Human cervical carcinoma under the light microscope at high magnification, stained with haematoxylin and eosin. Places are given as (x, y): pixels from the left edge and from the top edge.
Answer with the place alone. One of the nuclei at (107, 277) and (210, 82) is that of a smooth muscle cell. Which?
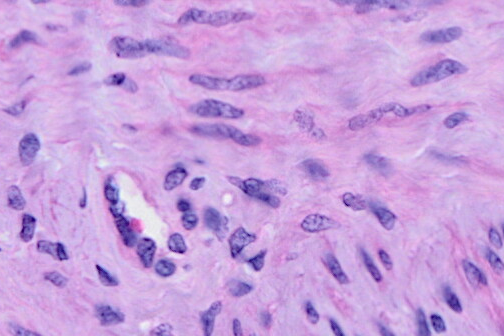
(210, 82)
